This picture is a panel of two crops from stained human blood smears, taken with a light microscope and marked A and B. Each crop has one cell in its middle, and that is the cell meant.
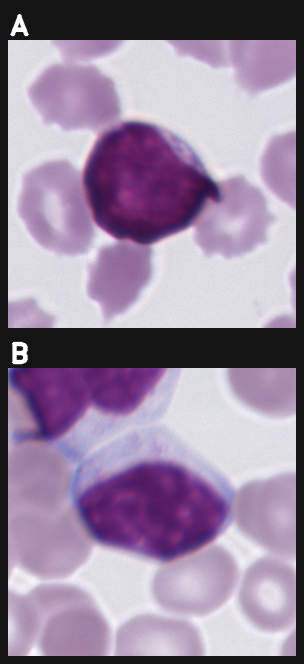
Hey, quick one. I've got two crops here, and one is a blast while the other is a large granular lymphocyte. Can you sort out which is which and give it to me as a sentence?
Identified in crop A is a blast, with a large granular lymphocyte identified in crop B.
